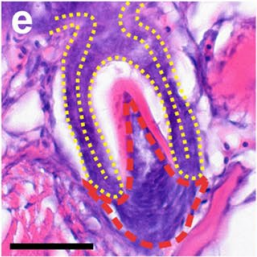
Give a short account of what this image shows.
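A pink eosinophilic matrix layer lines the inner face of the cone between the epithelium and the densely nucleated mesenchymal core. Loose connective tissue with scattered cells and pink fibres surrounds the germ.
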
